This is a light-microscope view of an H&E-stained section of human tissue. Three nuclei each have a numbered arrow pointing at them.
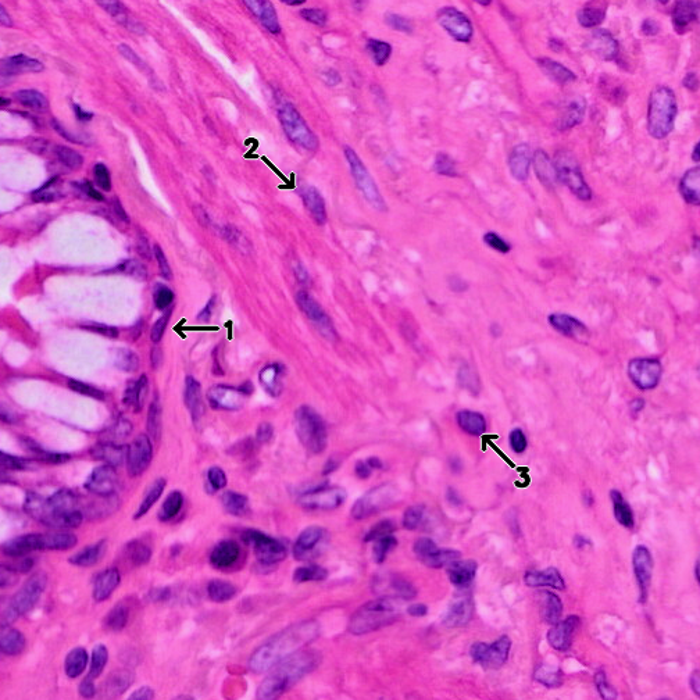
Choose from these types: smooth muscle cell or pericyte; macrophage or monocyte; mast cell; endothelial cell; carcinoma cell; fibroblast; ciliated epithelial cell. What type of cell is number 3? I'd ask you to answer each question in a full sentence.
The nucleus marked 3 is the nucleus of a mast cell.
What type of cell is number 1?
The cell referred to as 1 is a ciliated epithelial cell.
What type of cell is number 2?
Nucleus 2 in this section belongs to a smooth muscle cell or pericyte.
